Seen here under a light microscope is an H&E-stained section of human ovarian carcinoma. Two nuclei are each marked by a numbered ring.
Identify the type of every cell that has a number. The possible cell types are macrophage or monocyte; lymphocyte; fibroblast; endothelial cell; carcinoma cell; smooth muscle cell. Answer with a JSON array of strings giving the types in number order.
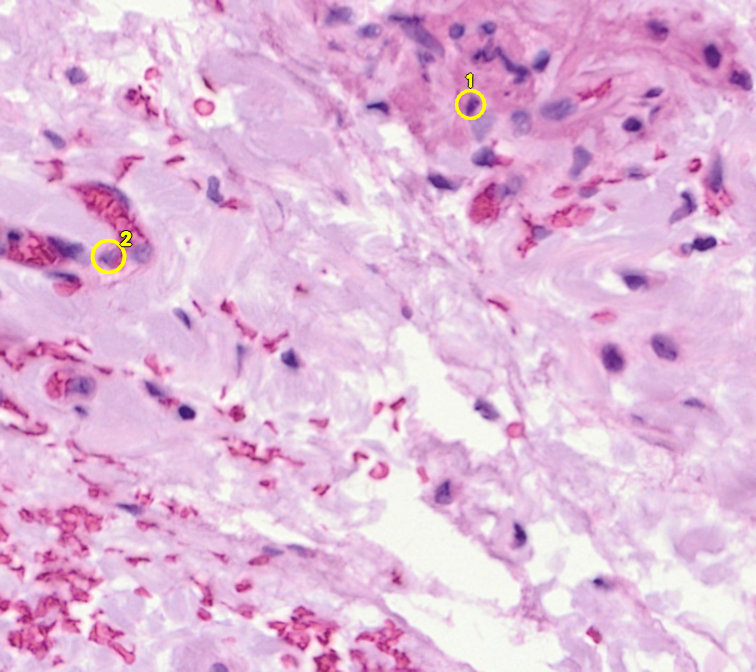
["smooth muscle cell", "endothelial cell"]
